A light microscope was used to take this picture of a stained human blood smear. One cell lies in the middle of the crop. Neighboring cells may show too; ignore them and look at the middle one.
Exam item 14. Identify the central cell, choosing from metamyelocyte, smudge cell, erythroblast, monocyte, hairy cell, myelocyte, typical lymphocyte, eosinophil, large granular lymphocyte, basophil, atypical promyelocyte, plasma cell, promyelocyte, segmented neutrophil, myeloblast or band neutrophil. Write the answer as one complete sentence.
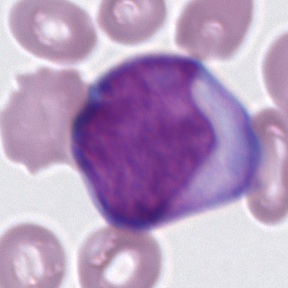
In the crop, the cell of interest at the centre is an atypical promyelocyte.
